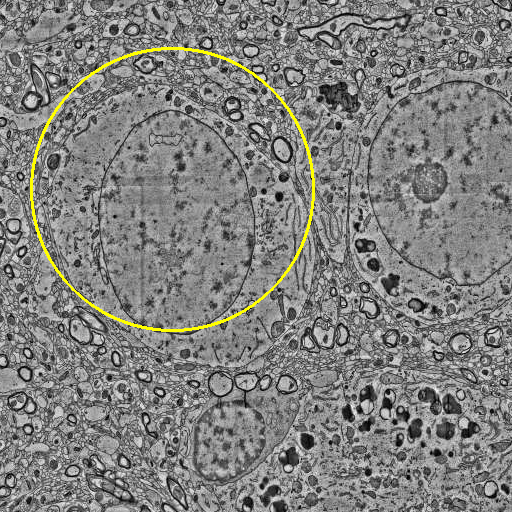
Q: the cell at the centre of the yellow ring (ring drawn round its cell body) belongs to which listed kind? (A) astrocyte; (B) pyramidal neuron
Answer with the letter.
B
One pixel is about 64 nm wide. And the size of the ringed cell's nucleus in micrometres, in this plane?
About 14 by 10 micrometers for the nucleus, in this plane.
